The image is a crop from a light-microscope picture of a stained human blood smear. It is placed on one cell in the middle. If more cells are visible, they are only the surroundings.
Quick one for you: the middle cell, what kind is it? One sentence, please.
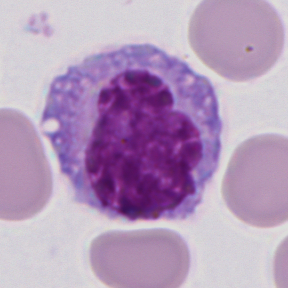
The central cell, amid any neighbouring cells, is a plasma cell.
